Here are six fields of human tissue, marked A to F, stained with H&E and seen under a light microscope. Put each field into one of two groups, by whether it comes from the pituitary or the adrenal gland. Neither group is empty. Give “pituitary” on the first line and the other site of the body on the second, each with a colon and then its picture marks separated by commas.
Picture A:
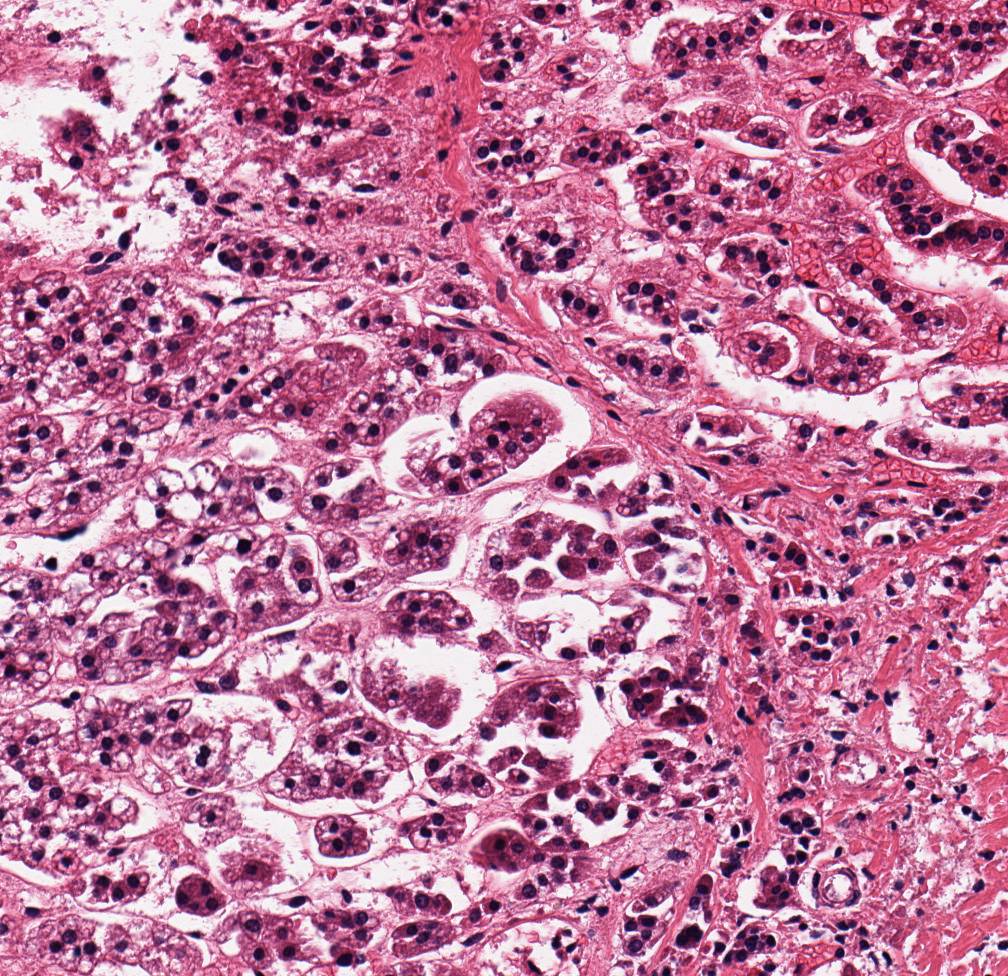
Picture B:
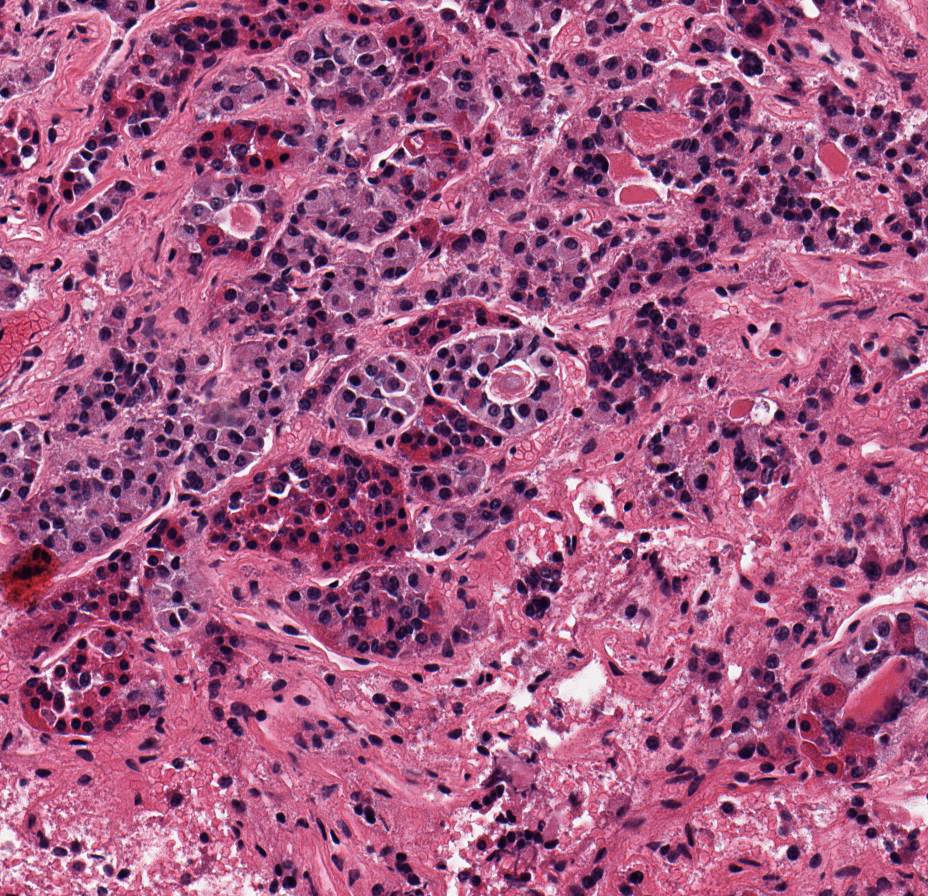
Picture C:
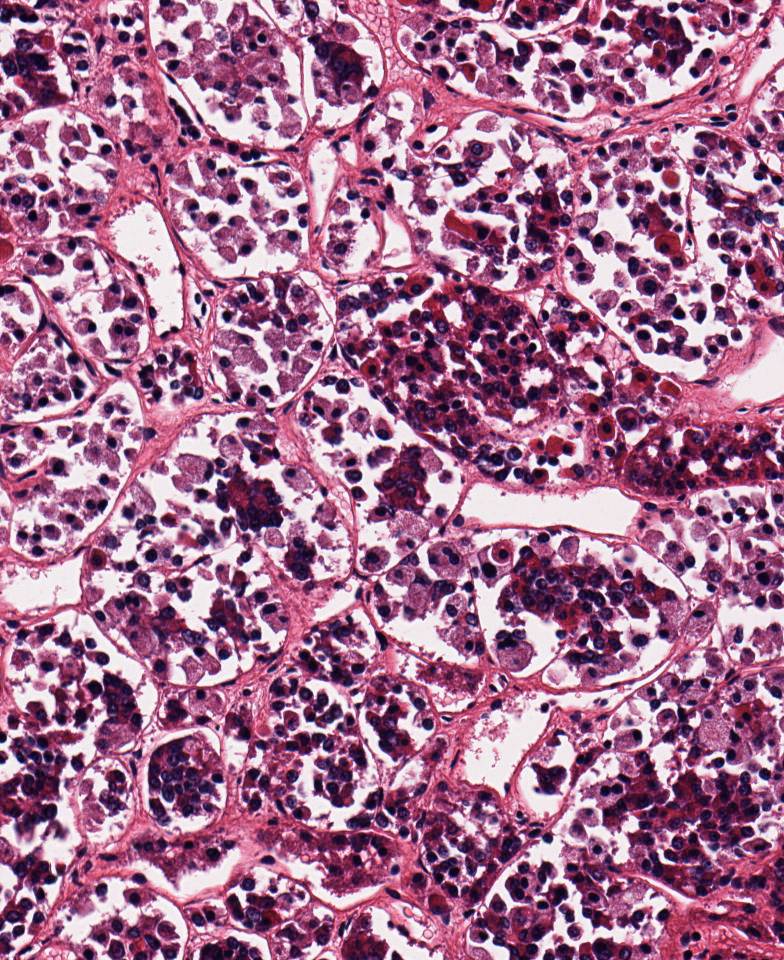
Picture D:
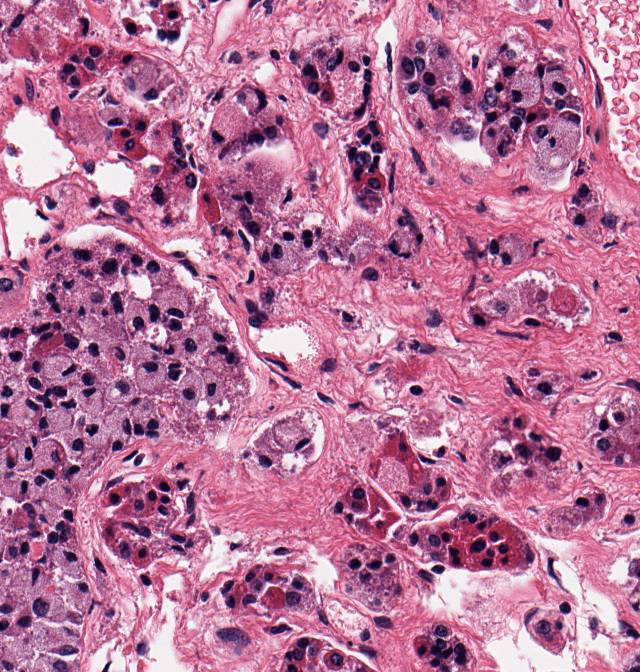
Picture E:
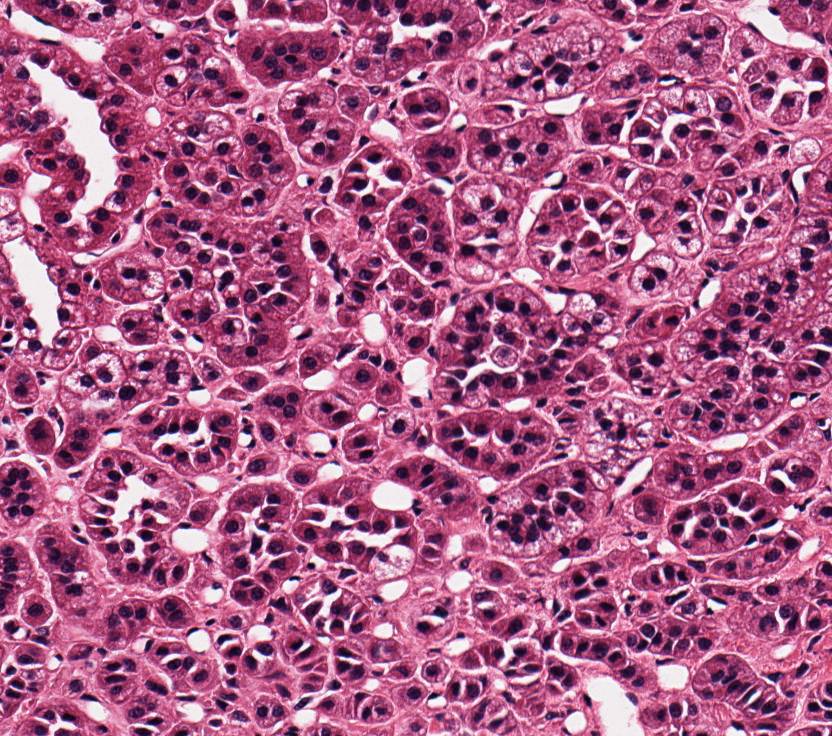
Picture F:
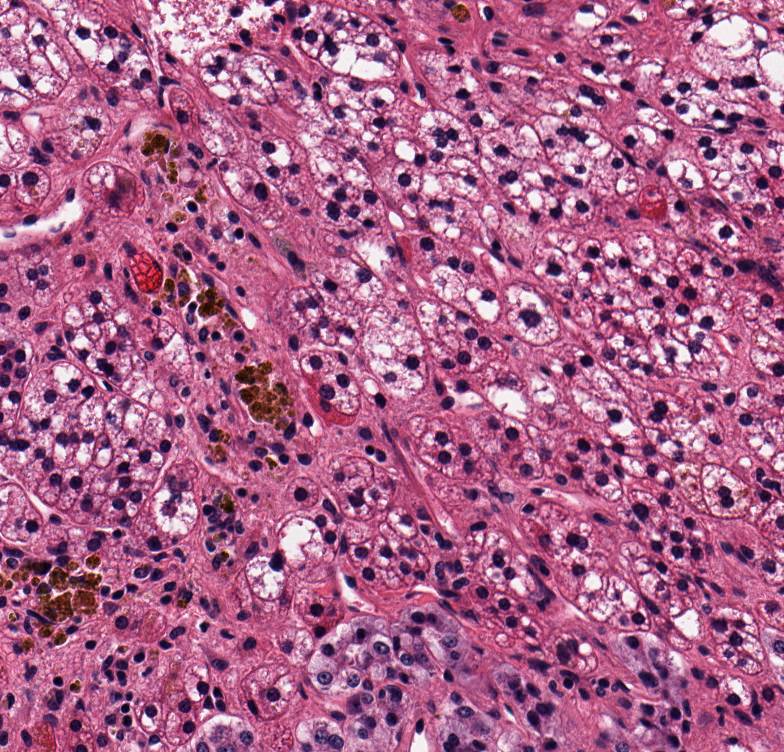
pituitary: B, C, D
adrenal gland: A, E, F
